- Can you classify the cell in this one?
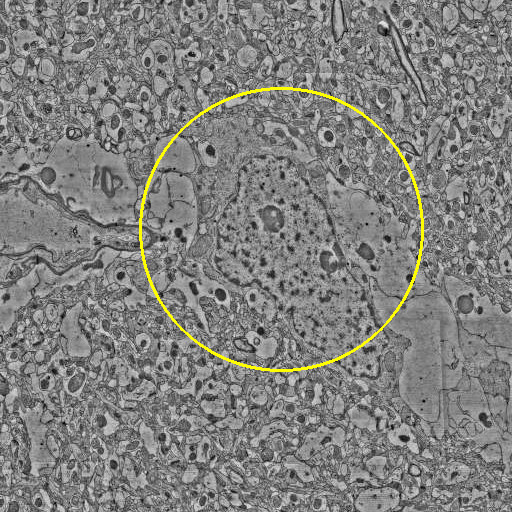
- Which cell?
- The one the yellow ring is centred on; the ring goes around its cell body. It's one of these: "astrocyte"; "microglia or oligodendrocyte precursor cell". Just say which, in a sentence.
The cell body in the ring belongs to a microglial cell or oligodendrocyte precursor cell.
